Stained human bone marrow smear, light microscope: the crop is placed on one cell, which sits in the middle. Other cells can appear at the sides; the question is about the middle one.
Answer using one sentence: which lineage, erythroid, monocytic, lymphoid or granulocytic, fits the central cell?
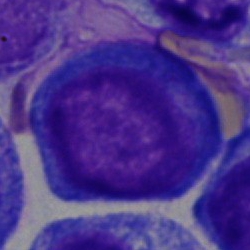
The middle cell is placed in the erythroid lineage.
